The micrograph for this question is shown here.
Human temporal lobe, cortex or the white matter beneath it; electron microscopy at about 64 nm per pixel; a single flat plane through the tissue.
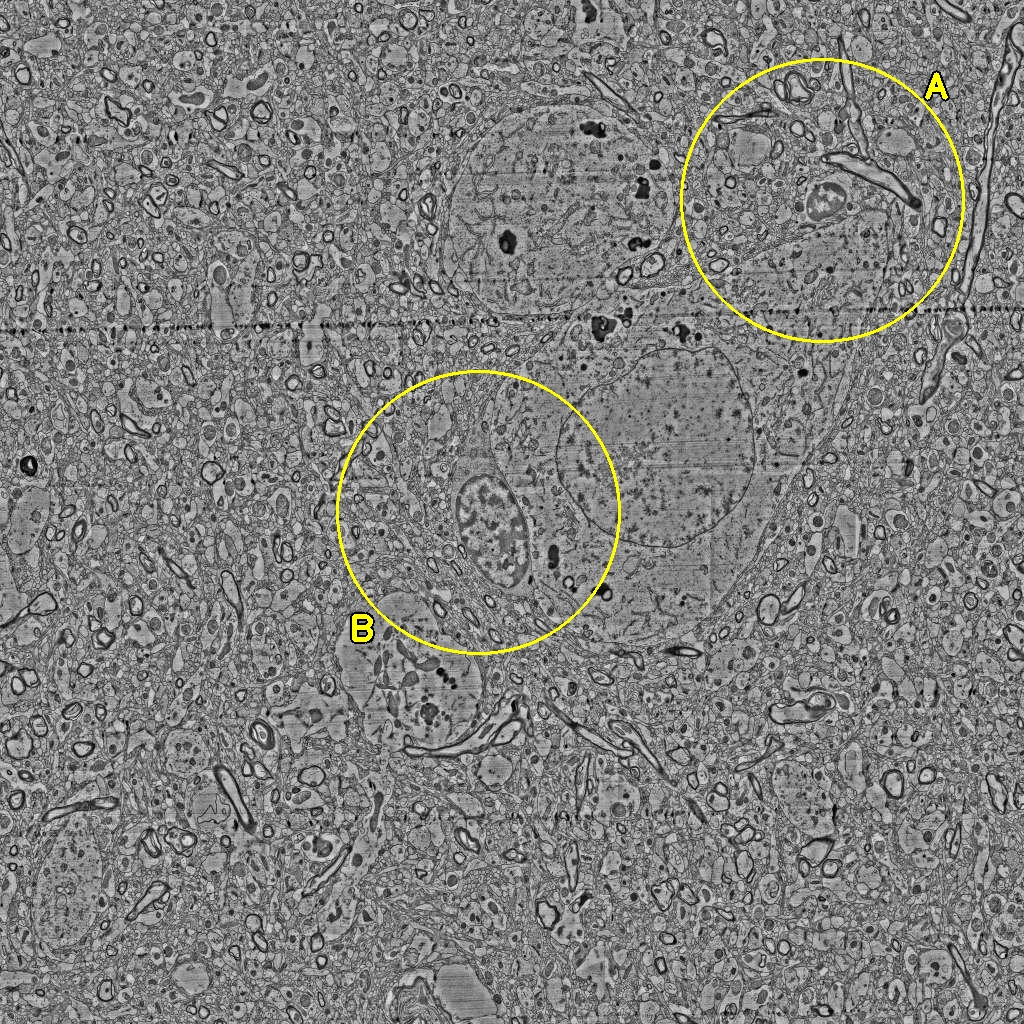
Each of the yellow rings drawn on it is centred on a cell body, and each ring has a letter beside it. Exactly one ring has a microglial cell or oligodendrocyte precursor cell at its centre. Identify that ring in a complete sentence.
The ring centred on it is ring A.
